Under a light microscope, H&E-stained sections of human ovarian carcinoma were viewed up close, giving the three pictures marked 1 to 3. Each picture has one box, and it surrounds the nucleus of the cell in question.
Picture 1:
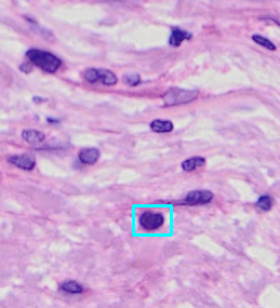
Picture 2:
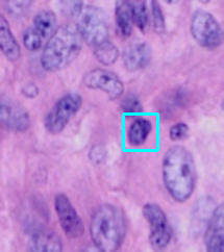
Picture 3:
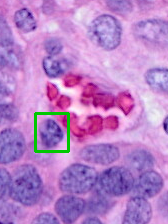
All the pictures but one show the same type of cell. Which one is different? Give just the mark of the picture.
3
